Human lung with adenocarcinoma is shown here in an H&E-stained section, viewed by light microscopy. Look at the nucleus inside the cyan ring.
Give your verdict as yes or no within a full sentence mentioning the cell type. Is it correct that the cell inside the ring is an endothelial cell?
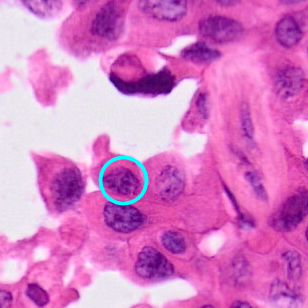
No, in this section the cell inside the ring is a carcinoma cell and not an endothelial cell.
